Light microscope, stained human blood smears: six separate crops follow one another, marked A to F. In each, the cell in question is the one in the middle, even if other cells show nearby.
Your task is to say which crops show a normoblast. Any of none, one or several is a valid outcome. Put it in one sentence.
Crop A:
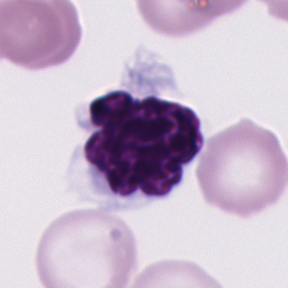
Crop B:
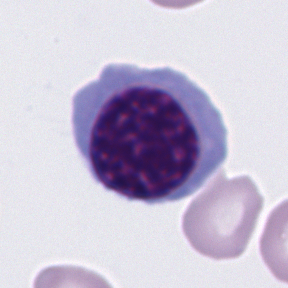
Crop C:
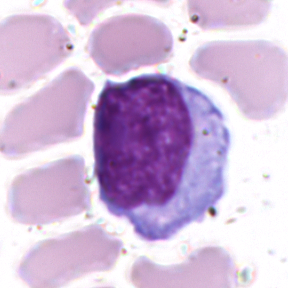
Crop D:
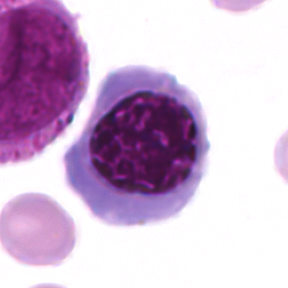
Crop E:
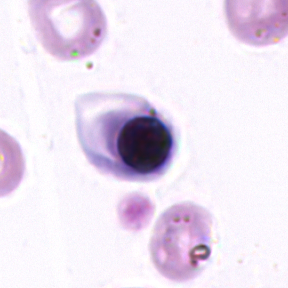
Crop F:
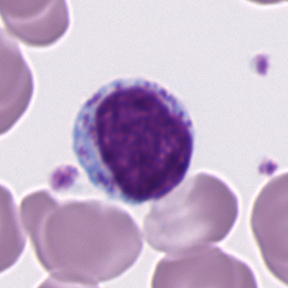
As for crops A, B, D and E, they show normoblasts.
